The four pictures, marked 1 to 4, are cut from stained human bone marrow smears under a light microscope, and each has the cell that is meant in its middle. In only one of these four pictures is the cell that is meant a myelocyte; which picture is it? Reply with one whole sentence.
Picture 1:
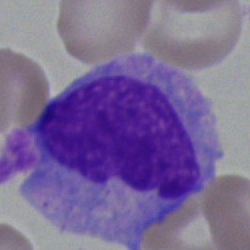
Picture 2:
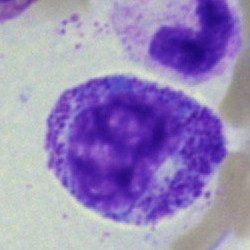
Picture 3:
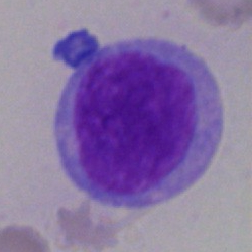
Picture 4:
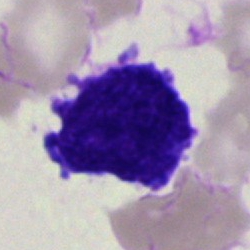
The myelocyte is the one in picture 2.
